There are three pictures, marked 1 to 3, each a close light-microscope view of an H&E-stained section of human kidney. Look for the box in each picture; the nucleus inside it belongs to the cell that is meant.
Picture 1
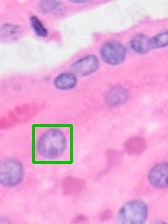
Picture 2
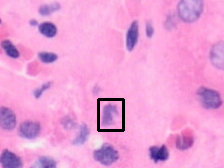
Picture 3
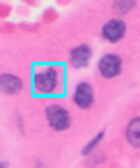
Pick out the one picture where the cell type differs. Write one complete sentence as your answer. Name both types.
The others show “loop of Henle or distal tubule cells”, but picture 1 shows a proximal tubule cell.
